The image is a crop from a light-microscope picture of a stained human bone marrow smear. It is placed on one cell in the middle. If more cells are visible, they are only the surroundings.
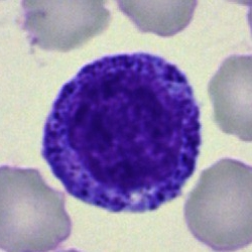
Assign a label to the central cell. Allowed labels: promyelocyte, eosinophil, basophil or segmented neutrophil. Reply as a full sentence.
Centrally within this crop lies a promyelocyte.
